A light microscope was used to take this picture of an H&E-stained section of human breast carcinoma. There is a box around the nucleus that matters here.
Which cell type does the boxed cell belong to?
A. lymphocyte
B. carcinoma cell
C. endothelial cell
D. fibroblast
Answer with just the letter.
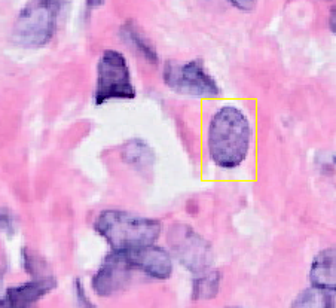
B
